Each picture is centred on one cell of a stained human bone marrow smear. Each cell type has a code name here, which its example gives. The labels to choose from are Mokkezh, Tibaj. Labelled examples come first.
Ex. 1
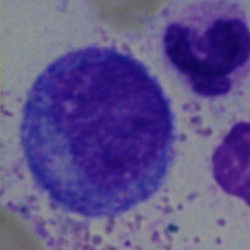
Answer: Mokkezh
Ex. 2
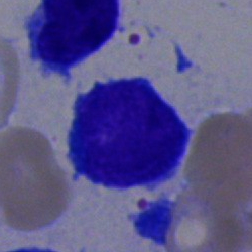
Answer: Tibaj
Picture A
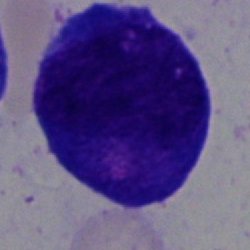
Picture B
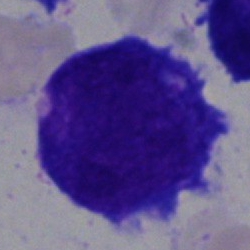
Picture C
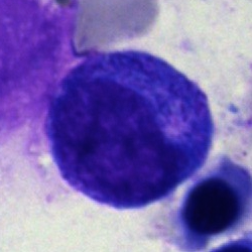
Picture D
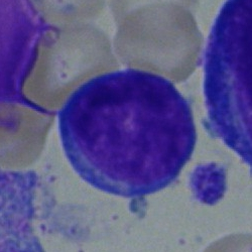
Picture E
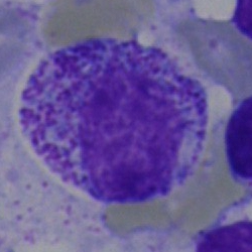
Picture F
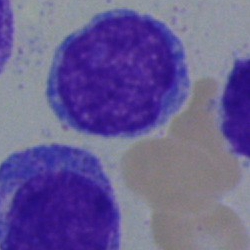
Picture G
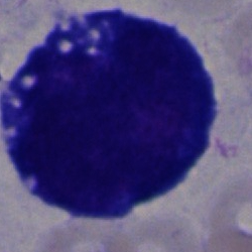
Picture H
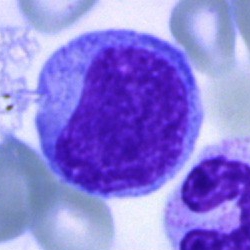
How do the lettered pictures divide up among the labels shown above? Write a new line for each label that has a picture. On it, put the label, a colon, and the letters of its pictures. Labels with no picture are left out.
Mokkezh: C, E
Tibaj: A, B, D, F, G, H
